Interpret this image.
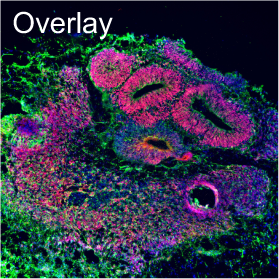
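A section of a brain organoid shows several rounded neural tube-like regions, each a thick ring of densely packed red-stained cells around a small central lumen. Green-stained tissue fills the spaces between and around the rings, and a fringe of green-stained material lines the outer edge of the section.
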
